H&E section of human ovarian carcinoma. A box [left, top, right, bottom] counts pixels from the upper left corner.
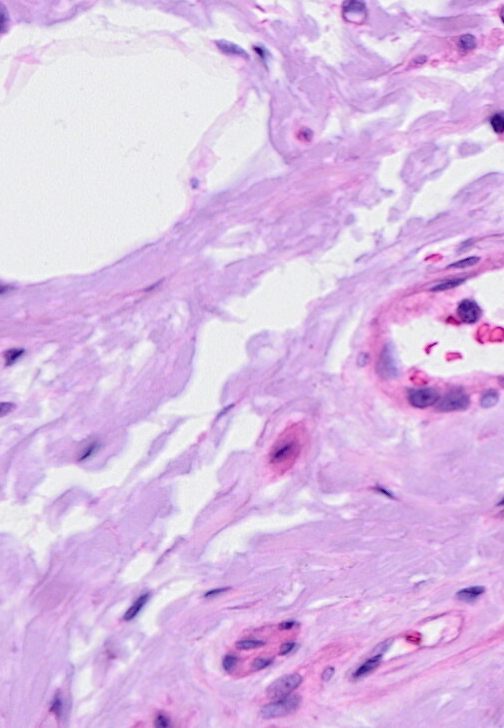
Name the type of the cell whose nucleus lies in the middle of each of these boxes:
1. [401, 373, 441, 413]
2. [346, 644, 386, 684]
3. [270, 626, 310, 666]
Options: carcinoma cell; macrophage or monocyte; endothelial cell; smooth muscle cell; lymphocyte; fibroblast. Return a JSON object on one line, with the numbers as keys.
{"1": "endothelial cell", "2": "endothelial cell", "3": "smooth muscle cell"}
